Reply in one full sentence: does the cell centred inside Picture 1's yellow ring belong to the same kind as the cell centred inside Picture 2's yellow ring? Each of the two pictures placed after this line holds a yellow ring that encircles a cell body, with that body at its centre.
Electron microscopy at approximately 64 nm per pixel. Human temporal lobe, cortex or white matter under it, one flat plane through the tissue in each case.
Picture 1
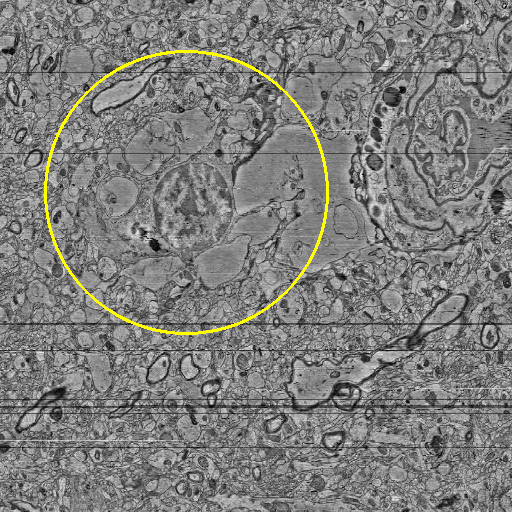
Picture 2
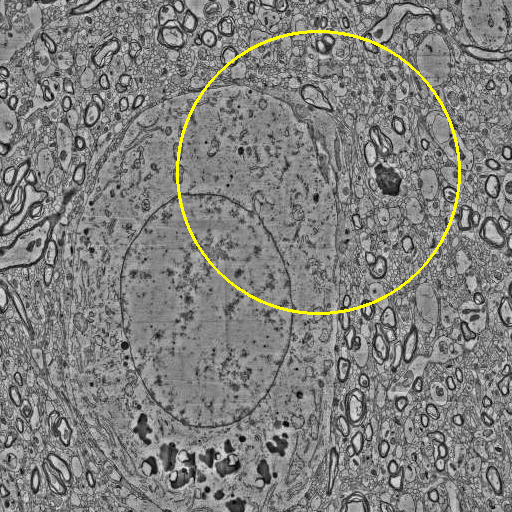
Yes, the ring-centred cells in Picture 1 and Picture 2 are of one and the same kind.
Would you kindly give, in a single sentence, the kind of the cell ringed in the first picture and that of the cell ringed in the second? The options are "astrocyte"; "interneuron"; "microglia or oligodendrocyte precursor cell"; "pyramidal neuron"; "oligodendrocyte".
In both pictures the ring is centred on an oligodendrocyte.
